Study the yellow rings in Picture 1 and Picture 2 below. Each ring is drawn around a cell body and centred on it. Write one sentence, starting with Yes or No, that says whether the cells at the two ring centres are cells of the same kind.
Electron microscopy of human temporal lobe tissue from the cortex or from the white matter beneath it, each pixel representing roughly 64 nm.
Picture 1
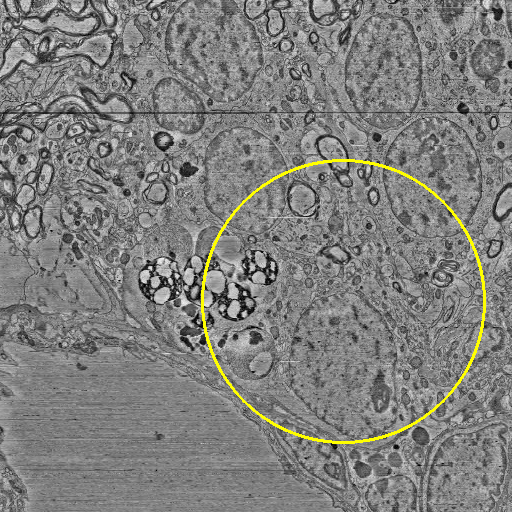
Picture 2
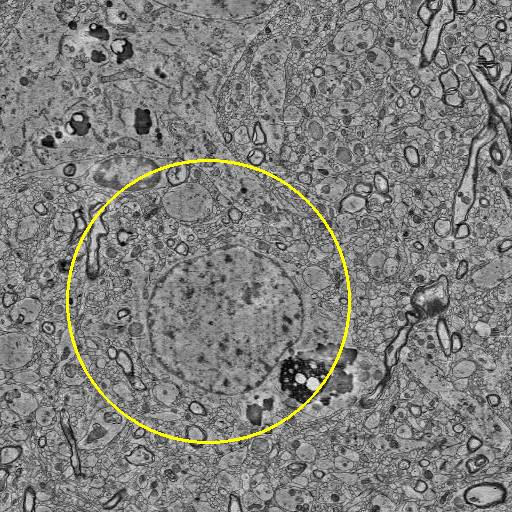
Yes, the cells at both ring centres are of the same kind.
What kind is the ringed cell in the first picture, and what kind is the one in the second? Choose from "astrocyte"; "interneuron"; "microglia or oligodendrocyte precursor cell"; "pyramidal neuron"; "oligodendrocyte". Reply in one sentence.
Each cell at the centre of a ring is an astrocyte.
